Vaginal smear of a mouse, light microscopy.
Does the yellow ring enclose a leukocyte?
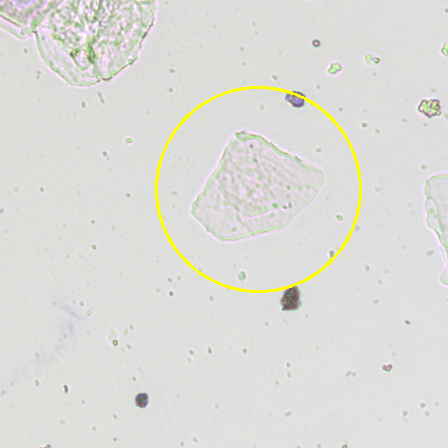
No. The ring encloses a cornified epithelial cell.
